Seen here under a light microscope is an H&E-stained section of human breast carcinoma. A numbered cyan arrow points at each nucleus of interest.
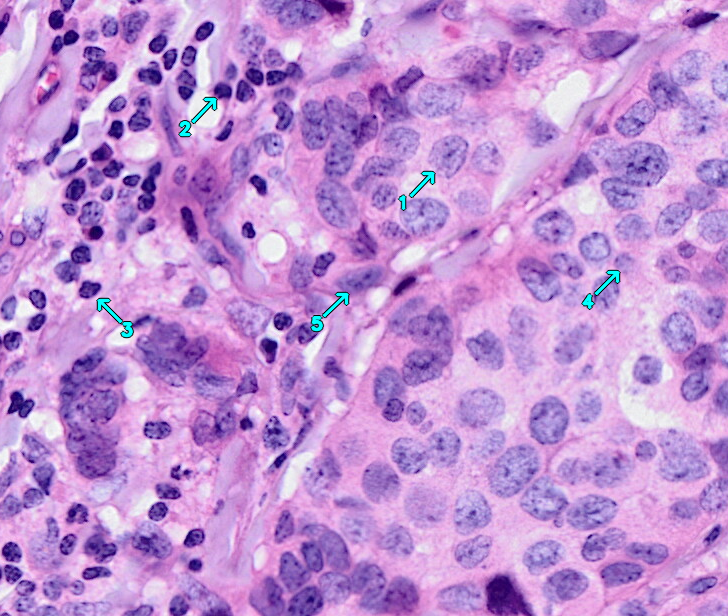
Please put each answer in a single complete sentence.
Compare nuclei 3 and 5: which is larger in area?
Nucleus 5 is the larger one, covering about 2.5 times the area of nucleus 3.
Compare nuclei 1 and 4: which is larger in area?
It is nucleus 1, which covers about 4 times the area of nucleus 4.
